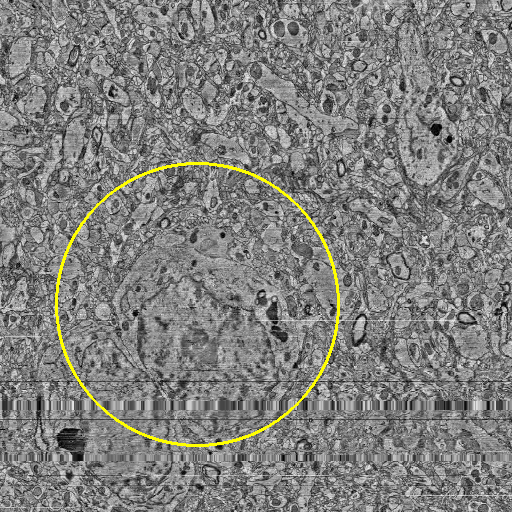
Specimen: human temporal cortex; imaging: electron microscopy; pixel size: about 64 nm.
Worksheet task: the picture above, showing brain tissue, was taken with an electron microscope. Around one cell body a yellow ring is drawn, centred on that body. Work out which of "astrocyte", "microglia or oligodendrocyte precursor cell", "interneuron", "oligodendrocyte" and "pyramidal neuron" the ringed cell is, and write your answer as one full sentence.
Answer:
It is an interneuron whose cell body lies at the centre of the yellow ring.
